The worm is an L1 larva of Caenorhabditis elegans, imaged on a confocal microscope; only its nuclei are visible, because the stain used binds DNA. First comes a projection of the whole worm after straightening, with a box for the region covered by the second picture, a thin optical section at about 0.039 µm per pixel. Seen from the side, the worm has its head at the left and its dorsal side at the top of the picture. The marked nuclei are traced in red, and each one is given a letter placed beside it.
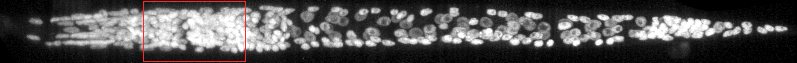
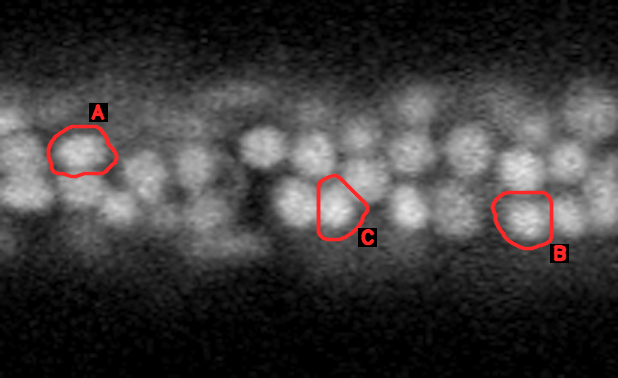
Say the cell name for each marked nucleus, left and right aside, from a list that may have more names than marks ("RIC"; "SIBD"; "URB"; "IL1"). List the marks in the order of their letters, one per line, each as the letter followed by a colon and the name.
A: URB
B: RIC
C: SIBD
